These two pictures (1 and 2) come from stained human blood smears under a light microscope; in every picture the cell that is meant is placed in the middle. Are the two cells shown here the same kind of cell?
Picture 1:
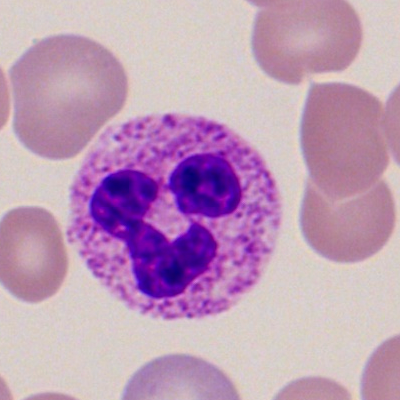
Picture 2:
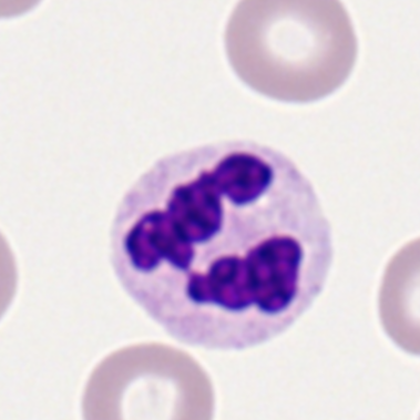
yes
